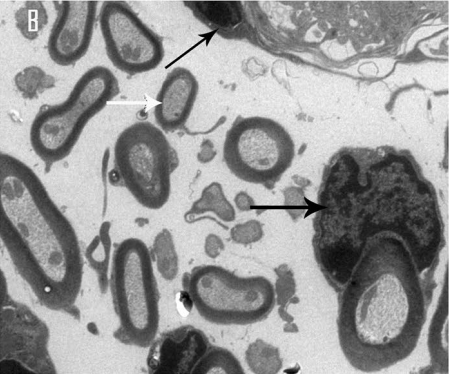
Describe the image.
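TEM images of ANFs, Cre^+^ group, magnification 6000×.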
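The fibres are irregular: many are elongated, bent or pinched, and their dark myelin sheaths vary in thickness. Wide pale spaces with small debris fragments separate the fibres. A large cell with a dark, electron-dense nucleus and cytoplasm is swollen and lies pressed against one fibre; another dark cell body sits at the upper edge.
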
